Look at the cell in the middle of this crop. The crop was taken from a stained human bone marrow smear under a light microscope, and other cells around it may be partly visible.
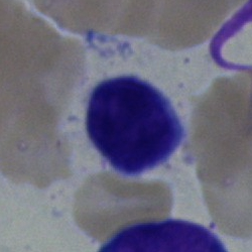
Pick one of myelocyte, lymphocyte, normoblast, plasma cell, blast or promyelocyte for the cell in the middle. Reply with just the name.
lymphocyte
